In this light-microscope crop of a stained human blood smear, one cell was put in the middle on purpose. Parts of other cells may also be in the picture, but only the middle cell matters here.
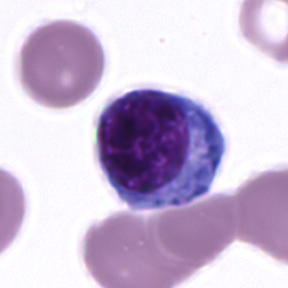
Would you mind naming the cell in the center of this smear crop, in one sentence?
The cell that lies at the centre of the crop is a plasma cell.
